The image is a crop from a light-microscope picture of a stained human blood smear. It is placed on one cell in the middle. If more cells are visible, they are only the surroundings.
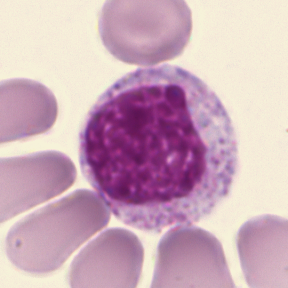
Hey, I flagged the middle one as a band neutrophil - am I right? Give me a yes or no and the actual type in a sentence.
No, the cell in the centre of the crop is a metamyelocyte as opposed to a band neutrophil.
